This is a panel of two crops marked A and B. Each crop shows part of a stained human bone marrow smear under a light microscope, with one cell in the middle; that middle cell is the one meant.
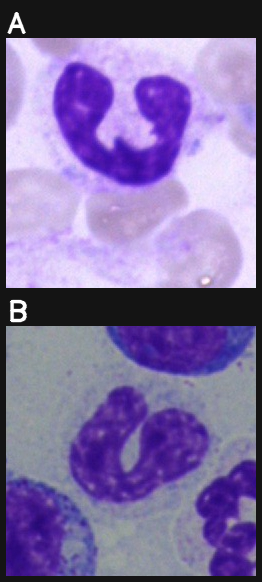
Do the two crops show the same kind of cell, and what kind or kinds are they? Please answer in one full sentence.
Yes, what both crops show at their centres are band neutrophils.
